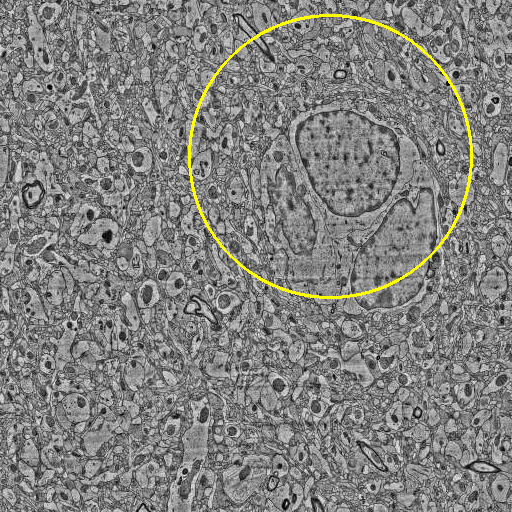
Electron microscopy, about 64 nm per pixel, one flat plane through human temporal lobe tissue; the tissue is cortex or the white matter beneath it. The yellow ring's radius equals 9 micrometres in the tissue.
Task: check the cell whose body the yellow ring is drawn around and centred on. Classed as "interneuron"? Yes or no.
No, it belongs to another class.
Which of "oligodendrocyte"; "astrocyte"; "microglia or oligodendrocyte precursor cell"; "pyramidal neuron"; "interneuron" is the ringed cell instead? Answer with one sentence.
It is a microglial cell or oligodendrocyte precursor cell that the ring is centred on.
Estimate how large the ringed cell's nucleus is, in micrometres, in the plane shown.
The nucleus is about 7 micrometres across in this plane.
